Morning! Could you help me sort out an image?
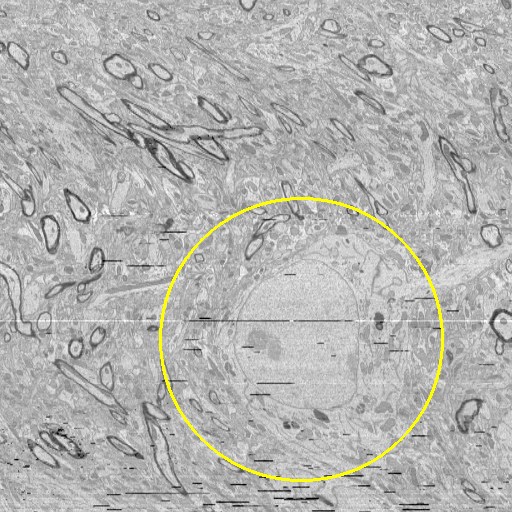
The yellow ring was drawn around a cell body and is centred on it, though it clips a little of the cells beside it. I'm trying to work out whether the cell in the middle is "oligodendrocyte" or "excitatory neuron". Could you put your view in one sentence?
The ringed cell body is that of an excitatory neuron.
